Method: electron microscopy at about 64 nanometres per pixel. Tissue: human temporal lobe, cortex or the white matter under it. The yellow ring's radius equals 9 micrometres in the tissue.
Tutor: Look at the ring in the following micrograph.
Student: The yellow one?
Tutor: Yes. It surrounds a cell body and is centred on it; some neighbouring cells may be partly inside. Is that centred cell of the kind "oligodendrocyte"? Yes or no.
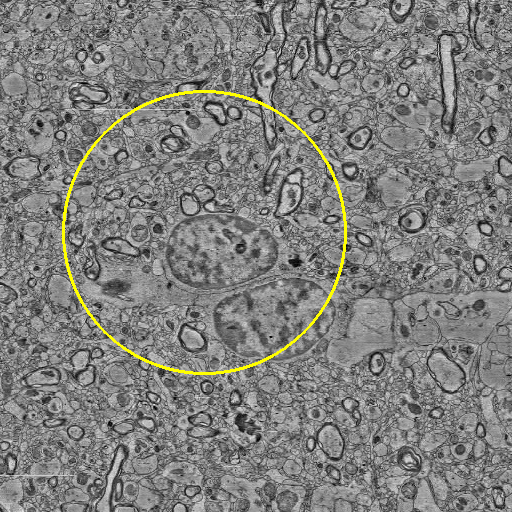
yes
